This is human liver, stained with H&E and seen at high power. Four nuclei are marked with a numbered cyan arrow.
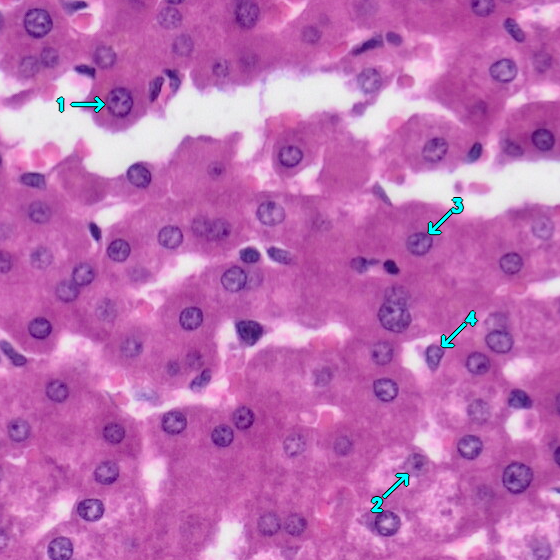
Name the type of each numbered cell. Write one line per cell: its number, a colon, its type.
1: hepatocyte
2: hepatocyte
3: hepatocyte
4: Kupffer cell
